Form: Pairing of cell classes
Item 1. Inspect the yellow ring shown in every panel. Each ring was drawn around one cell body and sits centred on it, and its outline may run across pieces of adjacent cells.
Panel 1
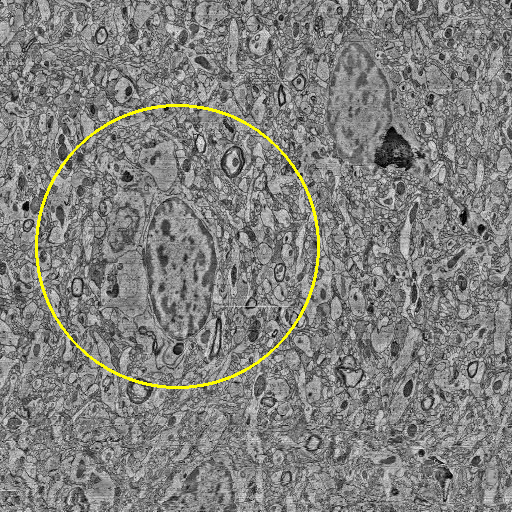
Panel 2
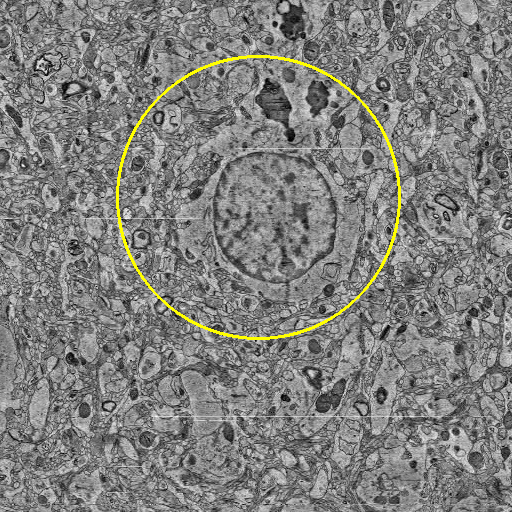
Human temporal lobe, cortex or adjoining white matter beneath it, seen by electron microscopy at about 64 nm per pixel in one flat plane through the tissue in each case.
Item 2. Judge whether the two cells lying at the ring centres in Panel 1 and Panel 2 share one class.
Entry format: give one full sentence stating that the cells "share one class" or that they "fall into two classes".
The cells at the ring centres in Panel 1 and Panel 2 fall into two classes.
